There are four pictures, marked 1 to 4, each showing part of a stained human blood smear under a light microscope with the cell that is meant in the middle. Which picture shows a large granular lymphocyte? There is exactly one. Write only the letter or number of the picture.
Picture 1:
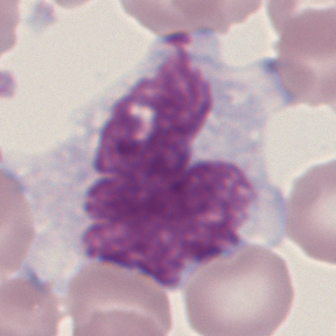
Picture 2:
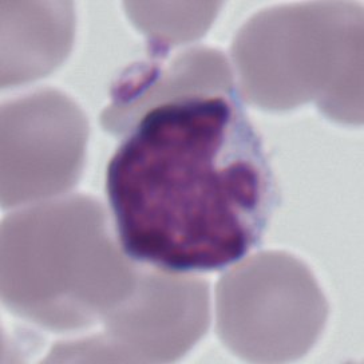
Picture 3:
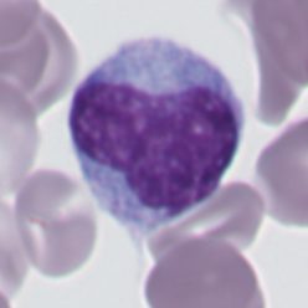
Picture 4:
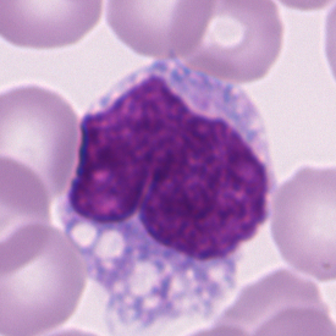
2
